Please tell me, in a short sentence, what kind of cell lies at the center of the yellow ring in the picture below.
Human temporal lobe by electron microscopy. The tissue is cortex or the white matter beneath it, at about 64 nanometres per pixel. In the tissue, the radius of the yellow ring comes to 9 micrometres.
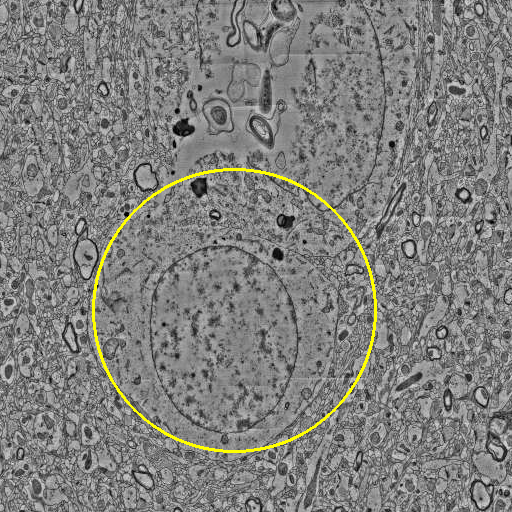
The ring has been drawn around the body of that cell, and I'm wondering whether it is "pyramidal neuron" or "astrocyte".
The cell at the center of the ring is a pyramidal neuron.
